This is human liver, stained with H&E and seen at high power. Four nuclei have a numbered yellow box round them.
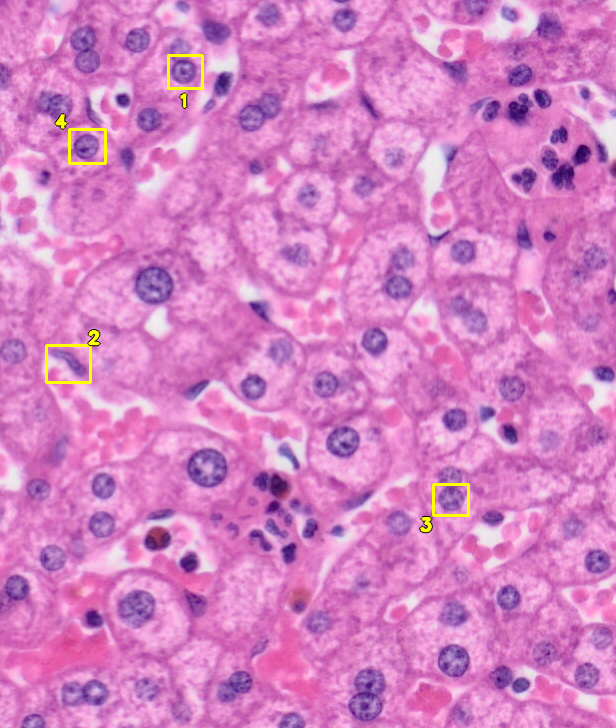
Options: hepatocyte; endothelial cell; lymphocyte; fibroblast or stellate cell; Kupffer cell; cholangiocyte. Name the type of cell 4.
hepatocyte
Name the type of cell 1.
hepatocyte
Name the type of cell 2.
Kupffer cell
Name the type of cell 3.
hepatocyte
